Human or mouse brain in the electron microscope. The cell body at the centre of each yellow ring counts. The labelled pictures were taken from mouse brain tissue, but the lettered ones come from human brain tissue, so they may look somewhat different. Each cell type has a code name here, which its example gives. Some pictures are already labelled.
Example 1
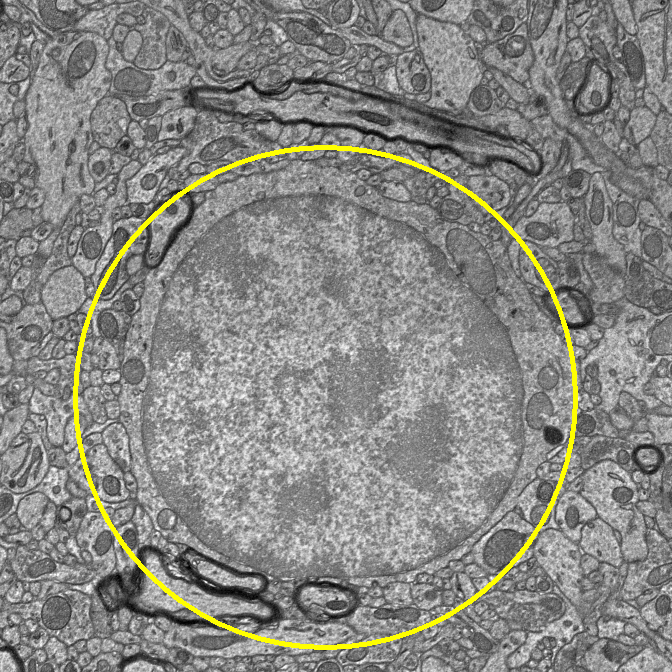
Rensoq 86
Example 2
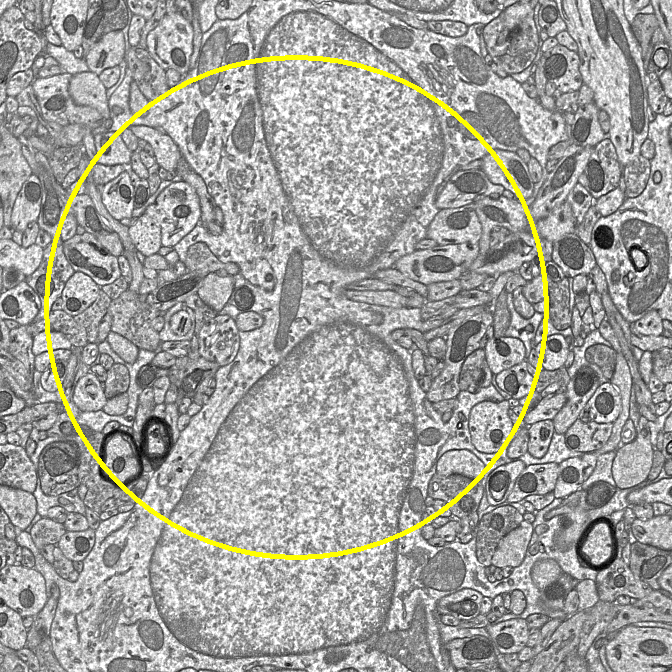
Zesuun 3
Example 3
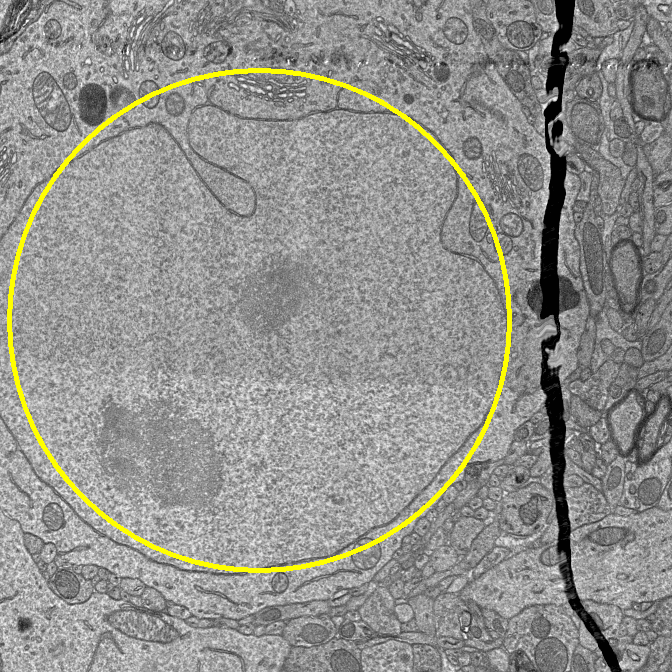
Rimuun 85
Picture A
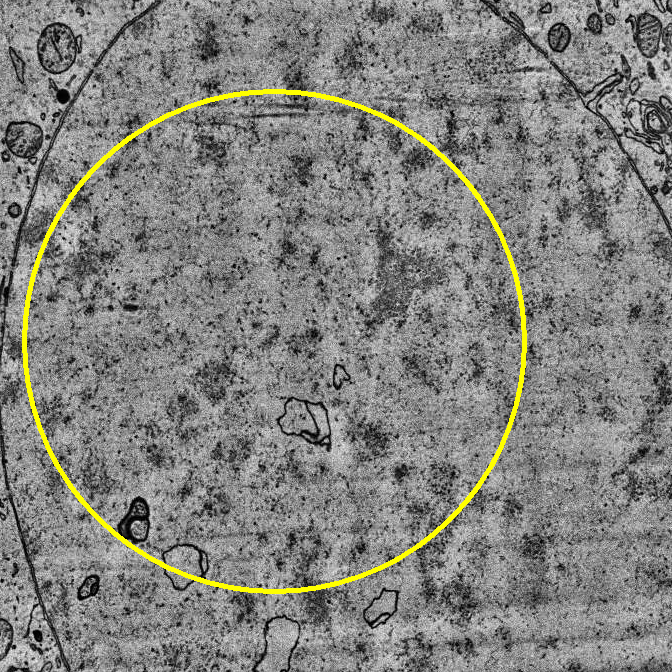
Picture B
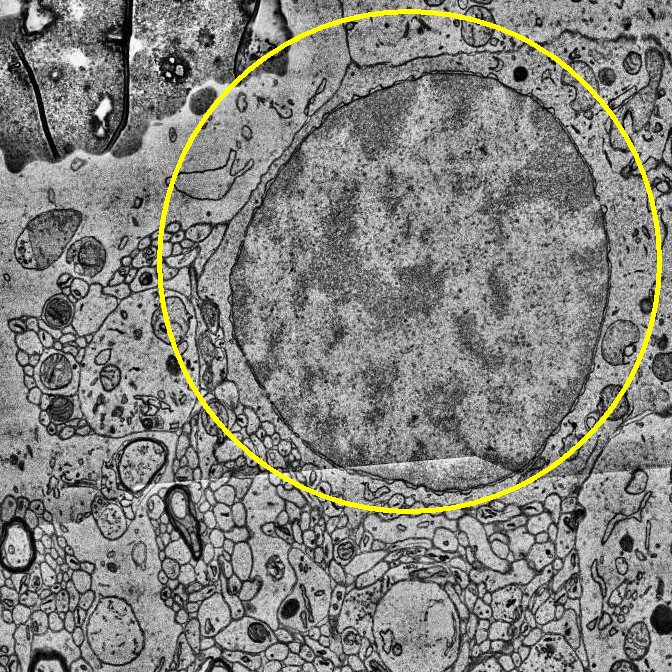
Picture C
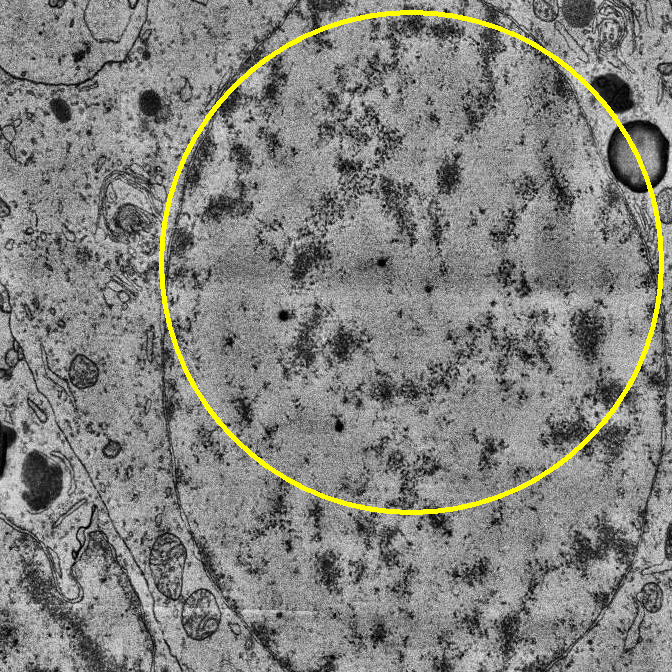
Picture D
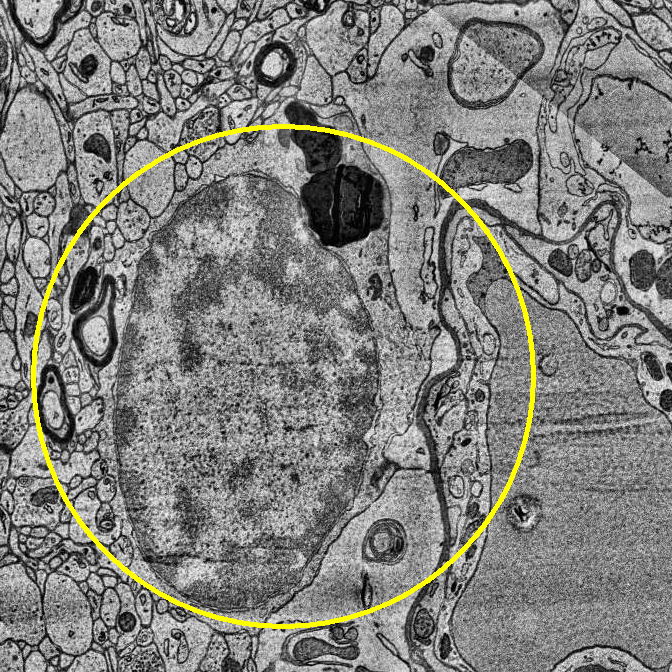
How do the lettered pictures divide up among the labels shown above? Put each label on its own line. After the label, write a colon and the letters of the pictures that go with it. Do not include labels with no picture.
Rensoq 86: B, D
Rimuun 85: A, C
